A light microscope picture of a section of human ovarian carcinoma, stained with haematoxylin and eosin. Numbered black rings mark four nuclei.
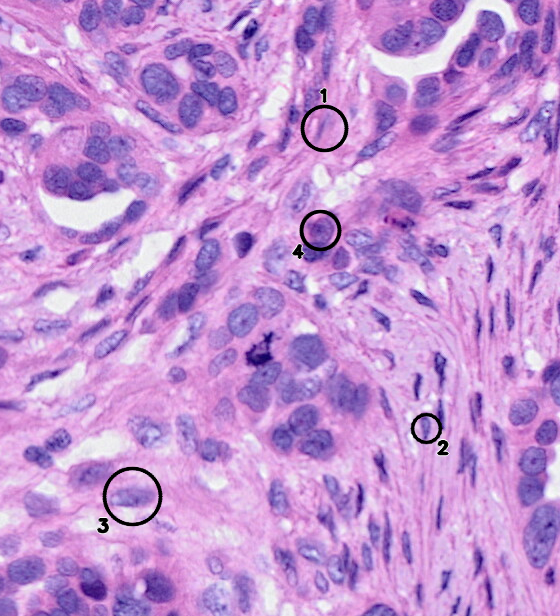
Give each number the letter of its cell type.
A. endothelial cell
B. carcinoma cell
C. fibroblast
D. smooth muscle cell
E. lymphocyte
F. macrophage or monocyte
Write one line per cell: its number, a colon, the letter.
1: C
2: C
3: C
4: B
